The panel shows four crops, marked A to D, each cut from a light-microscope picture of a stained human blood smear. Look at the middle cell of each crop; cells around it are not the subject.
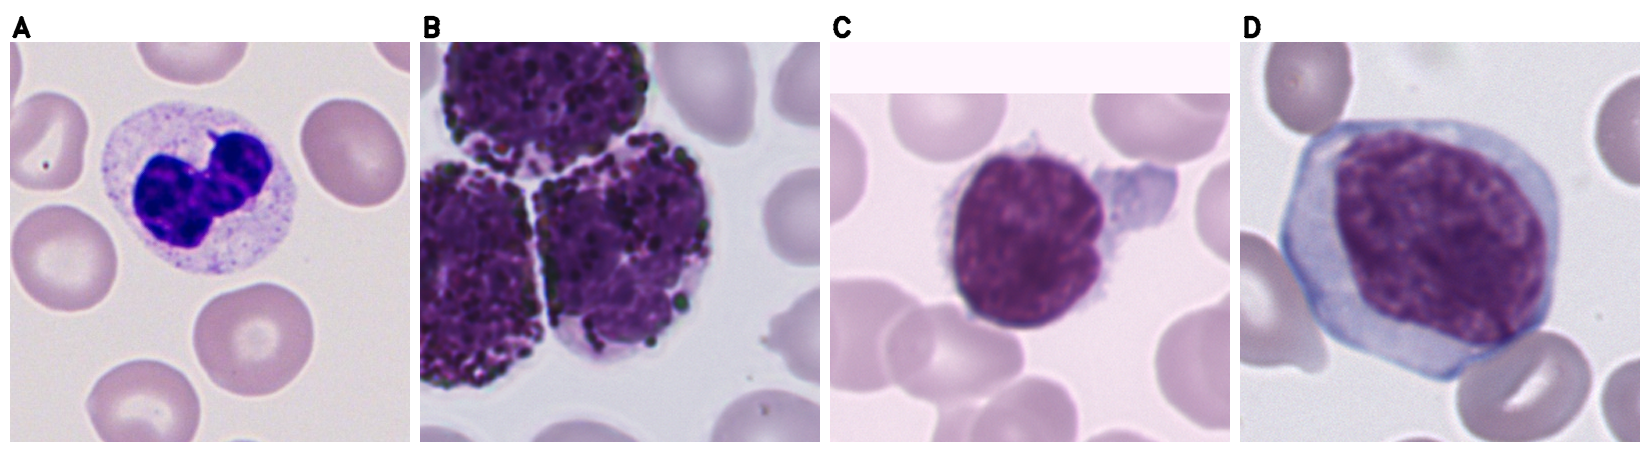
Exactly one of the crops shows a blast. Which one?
D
